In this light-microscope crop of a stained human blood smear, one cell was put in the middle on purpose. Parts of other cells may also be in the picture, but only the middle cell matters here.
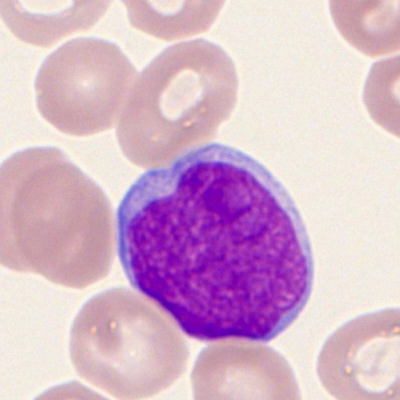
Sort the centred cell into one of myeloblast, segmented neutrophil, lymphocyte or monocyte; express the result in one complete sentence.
Classification of the middle cell gives a myeloblast.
